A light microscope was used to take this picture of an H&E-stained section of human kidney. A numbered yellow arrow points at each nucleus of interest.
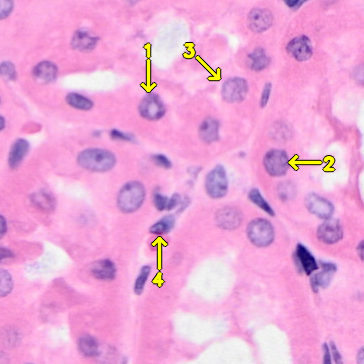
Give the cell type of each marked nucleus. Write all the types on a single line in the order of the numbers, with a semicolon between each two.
proximal tubule cell; proximal tubule cell; proximal tubule cell; endothelial cell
